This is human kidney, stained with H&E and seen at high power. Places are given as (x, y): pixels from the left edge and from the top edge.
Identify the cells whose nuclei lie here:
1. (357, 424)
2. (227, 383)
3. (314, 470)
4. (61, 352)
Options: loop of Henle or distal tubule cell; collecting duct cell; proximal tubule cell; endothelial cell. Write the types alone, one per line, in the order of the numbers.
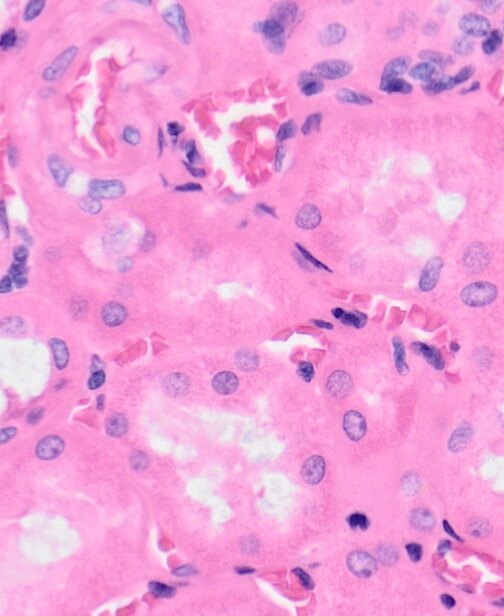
proximal tubule cell
proximal tubule cell
proximal tubule cell
loop of Henle or distal tubule cell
